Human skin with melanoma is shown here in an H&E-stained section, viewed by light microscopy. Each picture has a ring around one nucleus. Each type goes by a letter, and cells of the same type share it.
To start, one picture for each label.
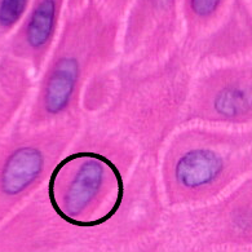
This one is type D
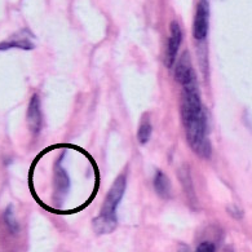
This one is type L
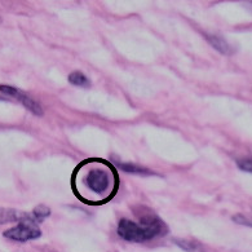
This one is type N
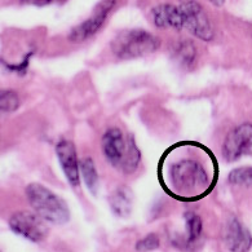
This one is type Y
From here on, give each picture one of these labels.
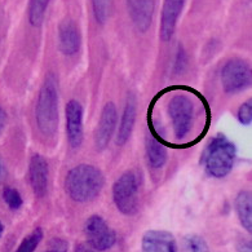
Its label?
type D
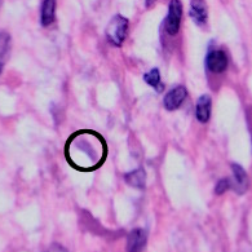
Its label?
type L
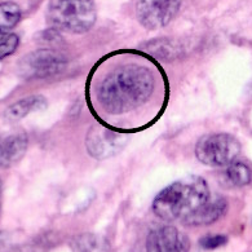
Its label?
type Y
